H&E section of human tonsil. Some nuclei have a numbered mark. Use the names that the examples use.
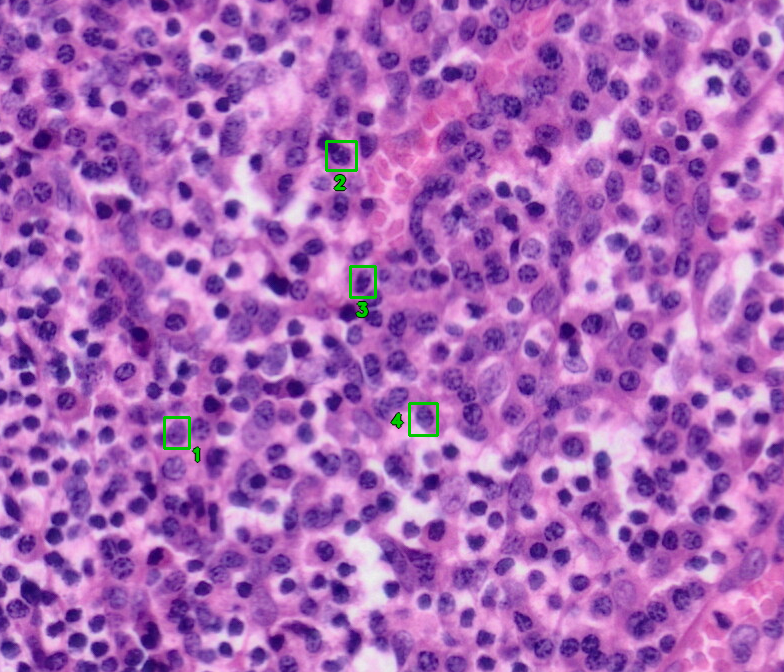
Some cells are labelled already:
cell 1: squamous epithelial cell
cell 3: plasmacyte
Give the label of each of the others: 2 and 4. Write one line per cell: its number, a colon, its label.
2: plasmacyte
4: plasmacyte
